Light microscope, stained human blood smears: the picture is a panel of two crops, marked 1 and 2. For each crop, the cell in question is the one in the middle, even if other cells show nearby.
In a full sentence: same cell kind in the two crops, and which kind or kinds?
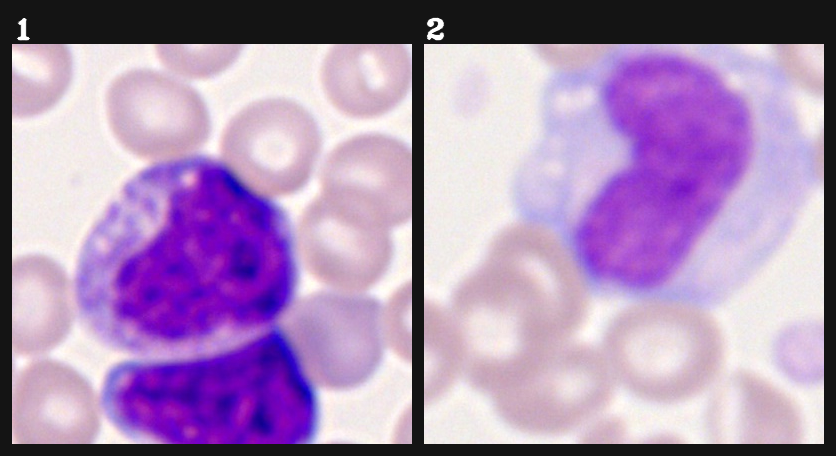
Yes, the two central cells, one per crop, are monocytes.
